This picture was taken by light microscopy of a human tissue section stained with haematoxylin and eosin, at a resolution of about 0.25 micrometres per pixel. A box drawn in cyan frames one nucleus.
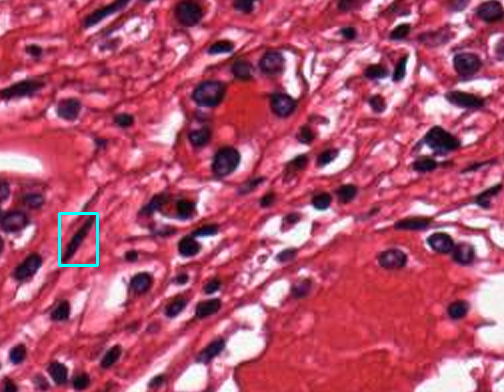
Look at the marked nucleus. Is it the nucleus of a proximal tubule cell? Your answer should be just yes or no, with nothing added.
no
